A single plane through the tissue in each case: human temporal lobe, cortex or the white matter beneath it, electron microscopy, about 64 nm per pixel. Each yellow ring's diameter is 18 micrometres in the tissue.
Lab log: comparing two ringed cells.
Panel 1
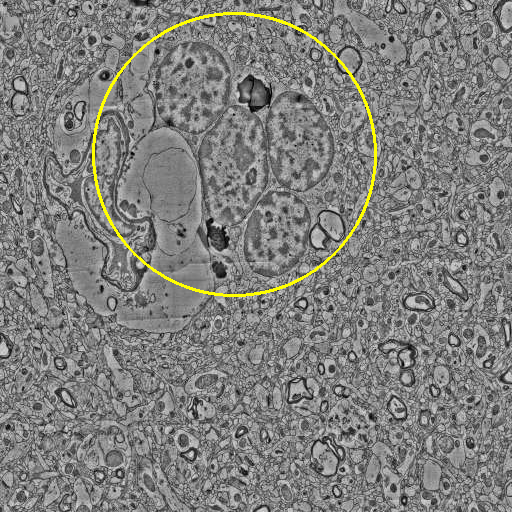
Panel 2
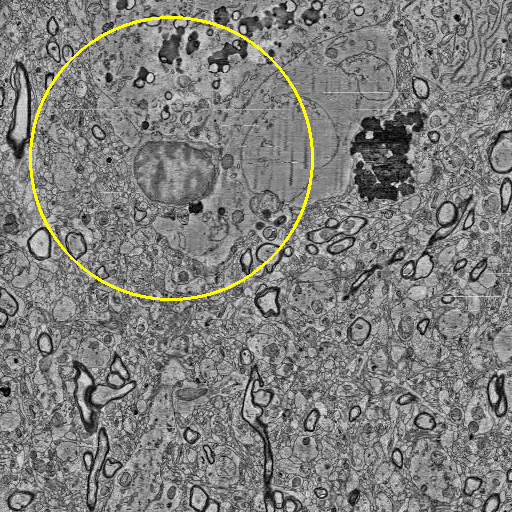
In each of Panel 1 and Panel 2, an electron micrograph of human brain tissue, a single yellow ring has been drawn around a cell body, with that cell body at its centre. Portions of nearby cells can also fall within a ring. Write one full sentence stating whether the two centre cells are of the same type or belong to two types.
The cells at the ring centres in Panel 1 and Panel 2 are of the same type.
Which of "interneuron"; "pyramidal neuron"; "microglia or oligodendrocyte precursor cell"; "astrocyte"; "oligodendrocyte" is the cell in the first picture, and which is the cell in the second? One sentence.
The ring centre holds an oligodendrocyte in each of the two pictures.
